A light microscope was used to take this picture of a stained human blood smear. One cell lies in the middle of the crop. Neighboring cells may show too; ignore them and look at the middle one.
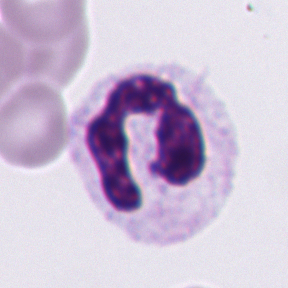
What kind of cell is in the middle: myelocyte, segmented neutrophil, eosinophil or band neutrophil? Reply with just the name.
segmented neutrophil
